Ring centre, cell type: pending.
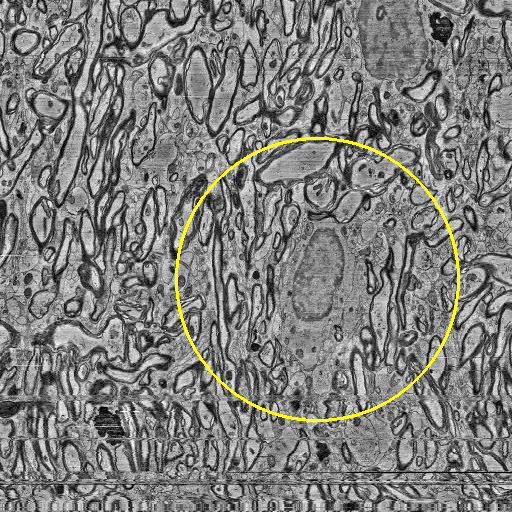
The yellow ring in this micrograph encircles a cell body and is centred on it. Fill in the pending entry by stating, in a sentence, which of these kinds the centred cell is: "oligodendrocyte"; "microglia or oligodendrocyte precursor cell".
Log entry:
The centred cell is recorded as an oligodendrocyte.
